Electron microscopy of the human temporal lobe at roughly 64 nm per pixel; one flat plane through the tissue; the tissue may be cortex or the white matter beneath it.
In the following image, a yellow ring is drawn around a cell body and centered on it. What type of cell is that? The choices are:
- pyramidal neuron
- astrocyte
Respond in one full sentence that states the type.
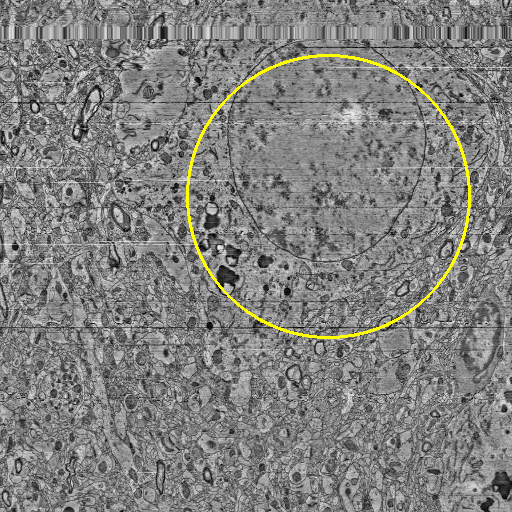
The cell at the center of the yellow ring in the image is a pyramidal neuron.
